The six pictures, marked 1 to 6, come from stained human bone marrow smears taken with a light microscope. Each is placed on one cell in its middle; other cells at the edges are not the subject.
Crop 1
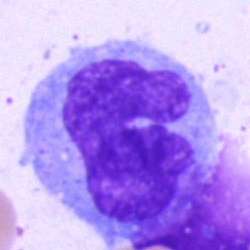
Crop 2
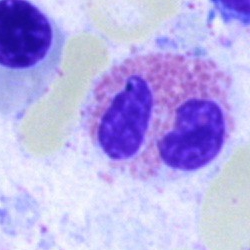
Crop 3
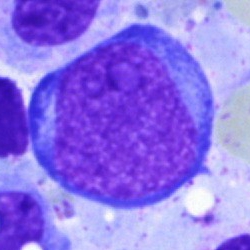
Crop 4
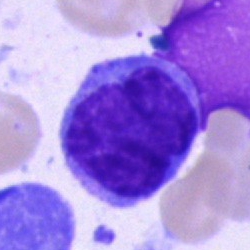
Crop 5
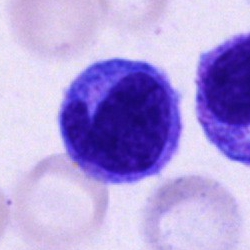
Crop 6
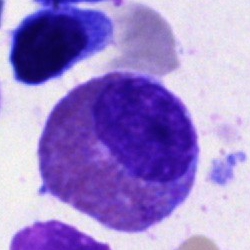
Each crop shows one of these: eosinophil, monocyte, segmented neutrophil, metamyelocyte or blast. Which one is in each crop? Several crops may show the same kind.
1: monocyte
2: eosinophil
3: blast
4: monocyte
5: monocyte
6: eosinophil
